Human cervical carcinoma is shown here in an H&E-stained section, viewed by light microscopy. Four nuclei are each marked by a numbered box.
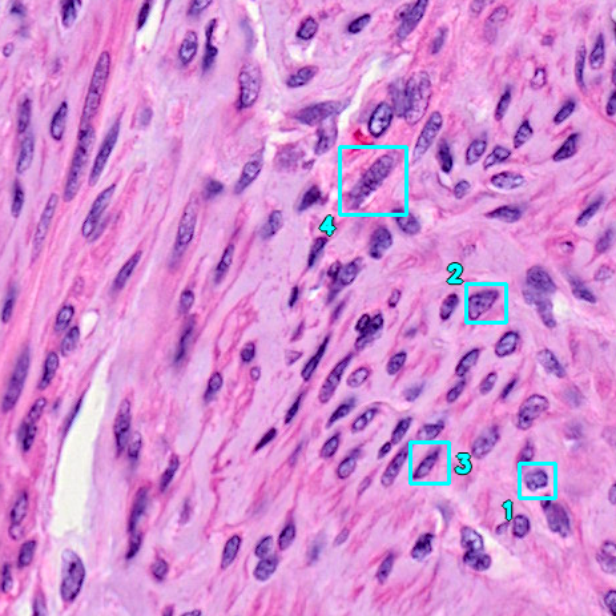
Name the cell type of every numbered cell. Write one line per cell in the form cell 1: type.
cell 1: lymphocyte
cell 2: smooth muscle cell
cell 3: smooth muscle cell
cell 4: endothelial cell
